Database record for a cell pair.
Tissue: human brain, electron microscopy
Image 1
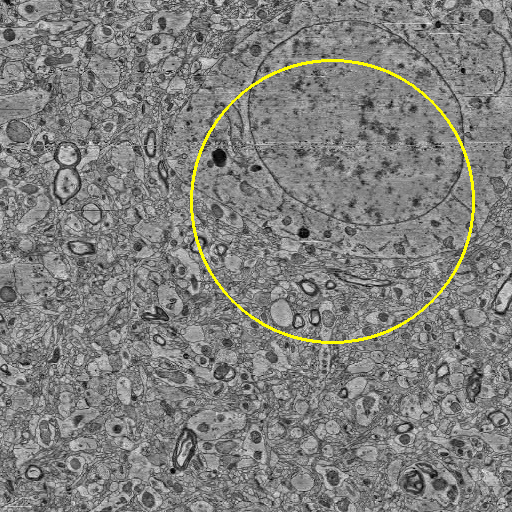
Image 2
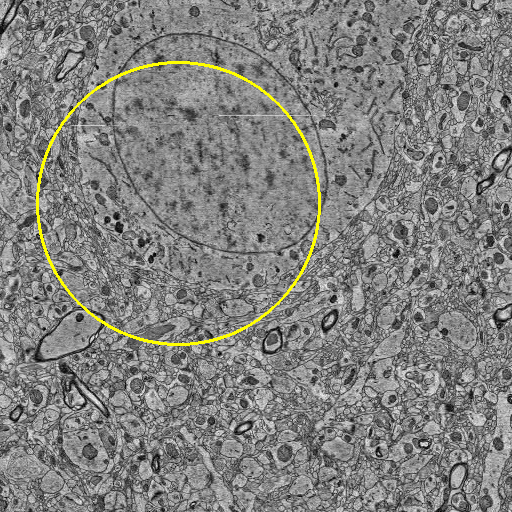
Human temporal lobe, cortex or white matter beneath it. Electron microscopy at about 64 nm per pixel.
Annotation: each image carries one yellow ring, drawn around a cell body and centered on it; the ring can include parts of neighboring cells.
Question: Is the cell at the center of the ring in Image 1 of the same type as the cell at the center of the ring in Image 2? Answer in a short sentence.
Yes, the cells are of the same type.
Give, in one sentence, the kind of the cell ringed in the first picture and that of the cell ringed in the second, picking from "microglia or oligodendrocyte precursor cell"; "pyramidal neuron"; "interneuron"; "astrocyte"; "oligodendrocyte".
Each one of the two ringed cells is a pyramidal neuron.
